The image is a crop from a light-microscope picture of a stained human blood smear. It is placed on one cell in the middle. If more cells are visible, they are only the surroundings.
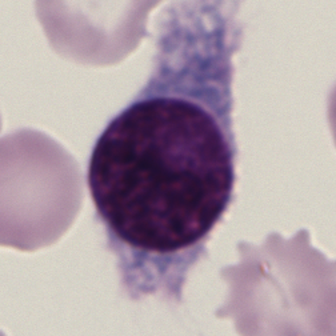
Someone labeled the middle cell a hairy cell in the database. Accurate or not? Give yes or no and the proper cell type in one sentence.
Yes, the middle of the crop is occupied by a hairy cell.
